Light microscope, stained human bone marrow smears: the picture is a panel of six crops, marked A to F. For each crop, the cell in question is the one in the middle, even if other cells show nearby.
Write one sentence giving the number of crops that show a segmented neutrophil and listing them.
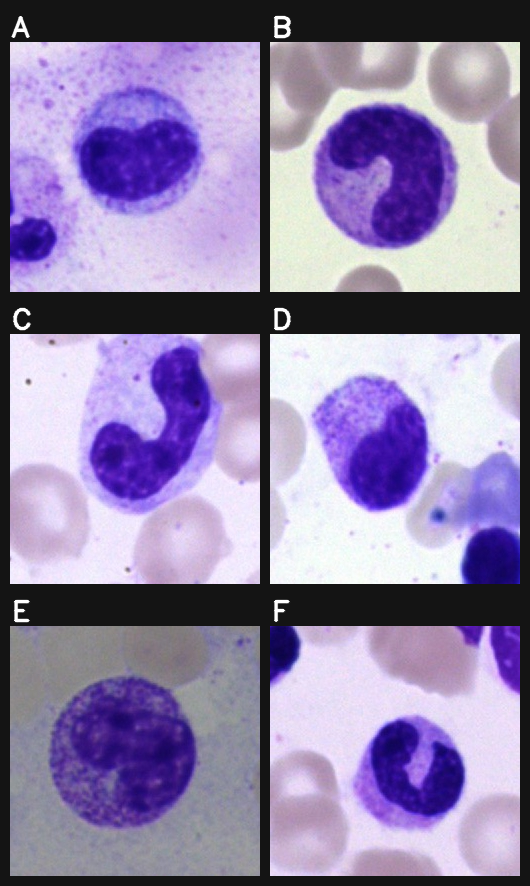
The count is zero, as not one of the crops contains segmented neutrophils.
